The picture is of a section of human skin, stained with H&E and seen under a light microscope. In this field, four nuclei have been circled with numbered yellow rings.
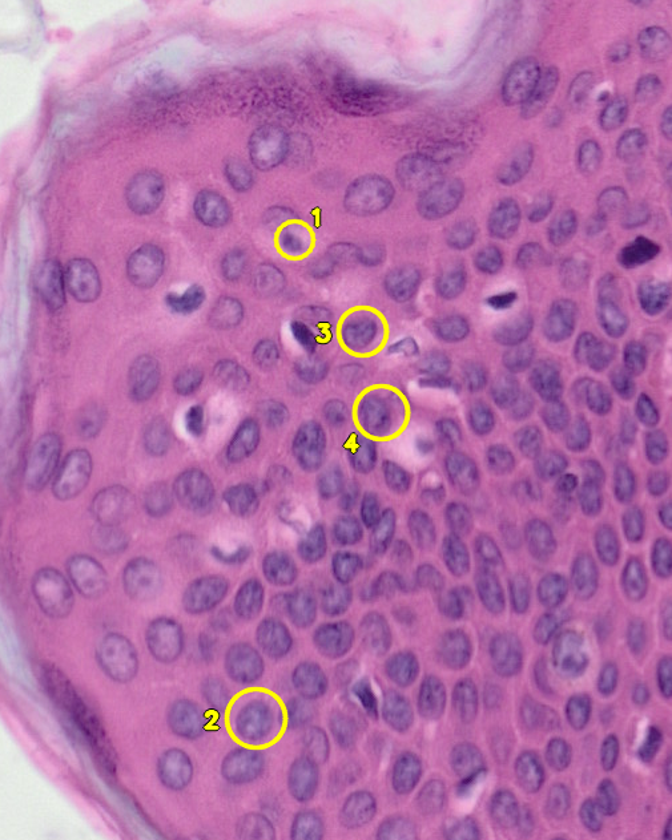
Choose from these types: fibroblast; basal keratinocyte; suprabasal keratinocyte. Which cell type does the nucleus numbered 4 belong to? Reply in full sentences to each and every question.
The cell referenced by the number 4 is a basal keratinocyte in this field.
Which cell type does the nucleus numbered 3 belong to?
The cell that carries the label 3 is a suprabasal keratinocyte.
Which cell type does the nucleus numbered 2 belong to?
The cell referenced by the number 2 is a suprabasal keratinocyte in this field.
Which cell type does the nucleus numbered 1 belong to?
Numbered cell 1 is a suprabasal keratinocyte in this tissue section.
